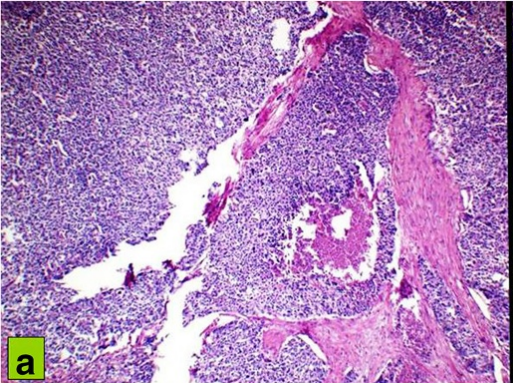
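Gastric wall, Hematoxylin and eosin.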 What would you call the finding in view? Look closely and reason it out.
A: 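A central nest of pale pink, anucleate granular debris lies within a sheet of dark blue cells. Densely packed tumor cells surround the debris in a solid sheet.
Hence: foci of necrosis.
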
